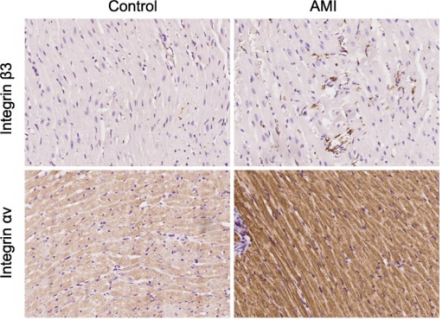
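Myocardial tissue in longitudinal section, shown as four fields in two rows and two columns. Long muscle fibres run in parallel across each field, with elongated blue-stained nuclei lying along them. In the upper row the fibres are pale with little brown colour; the left field shows only faint brown, while the right field has scattered small brown-stained elongated cells and streaks lying between the fibres, clustered in one area. In the lower row the fibre cytoplasm is diffusely brown throughout; the right field is a darker, more uniform brown than the left, and a small dark blue cluster of nuclei lies at its left edge.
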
